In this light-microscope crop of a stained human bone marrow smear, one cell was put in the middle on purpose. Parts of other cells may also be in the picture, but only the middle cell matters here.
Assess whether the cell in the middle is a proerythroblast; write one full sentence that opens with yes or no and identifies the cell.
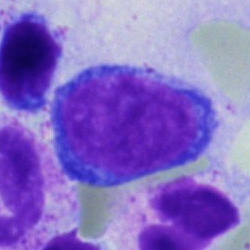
Yes, the cell occupying the middle of the crop is a proerythroblast.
